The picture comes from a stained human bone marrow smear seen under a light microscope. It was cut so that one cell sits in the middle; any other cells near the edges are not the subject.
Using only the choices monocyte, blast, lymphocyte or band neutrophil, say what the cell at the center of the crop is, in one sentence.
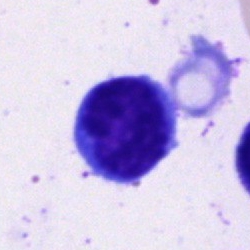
Among the cells in view, the one in the middle is a lymphocyte.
